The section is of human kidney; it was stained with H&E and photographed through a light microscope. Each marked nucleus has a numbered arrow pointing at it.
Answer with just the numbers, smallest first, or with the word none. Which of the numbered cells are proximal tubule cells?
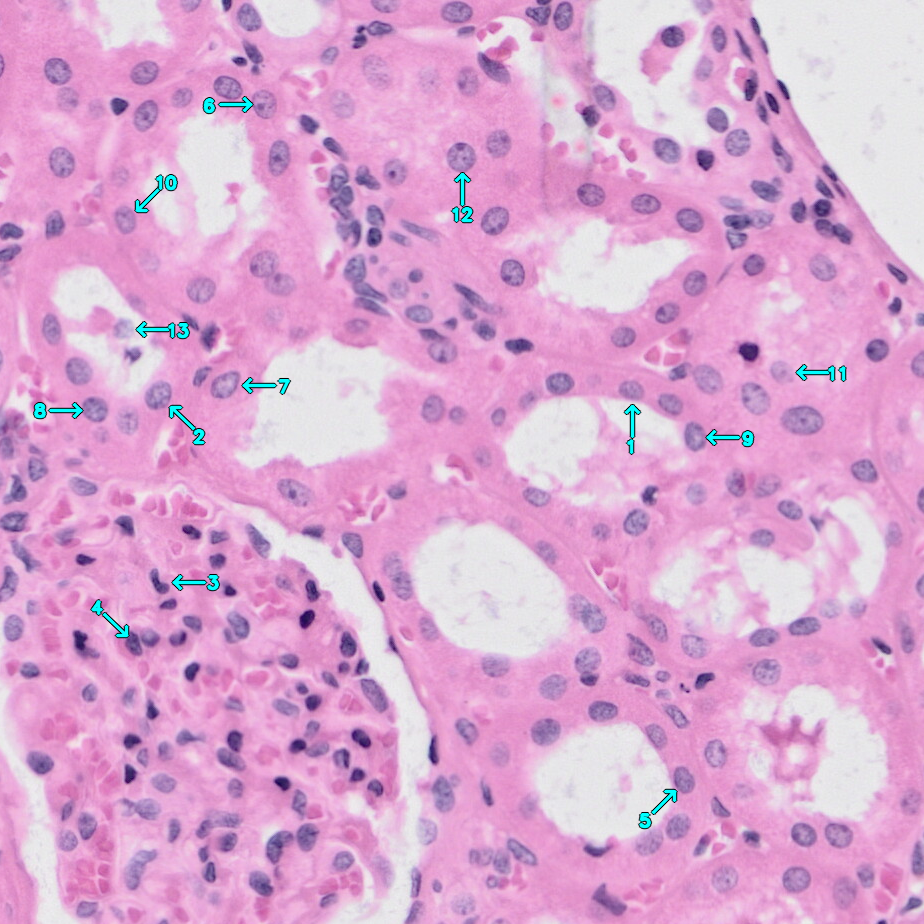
6, 7, 10, 11, 12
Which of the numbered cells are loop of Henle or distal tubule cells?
1, 2, 5, 8, 9, 13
